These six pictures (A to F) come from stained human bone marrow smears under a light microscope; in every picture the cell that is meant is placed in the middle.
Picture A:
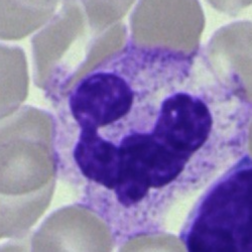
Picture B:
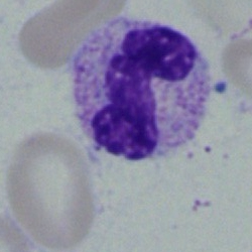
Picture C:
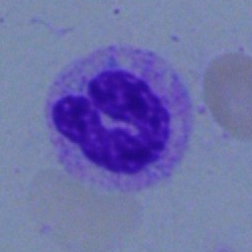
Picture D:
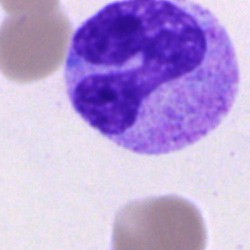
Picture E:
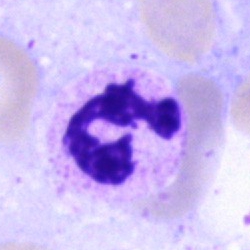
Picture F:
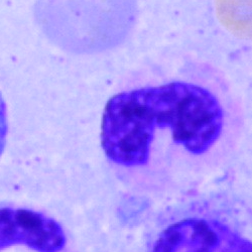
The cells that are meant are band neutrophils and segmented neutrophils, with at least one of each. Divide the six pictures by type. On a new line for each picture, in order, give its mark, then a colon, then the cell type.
A: segmented neutrophil
B: band neutrophil
C: band neutrophil
D: band neutrophil
E: segmented neutrophil
F: band neutrophil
